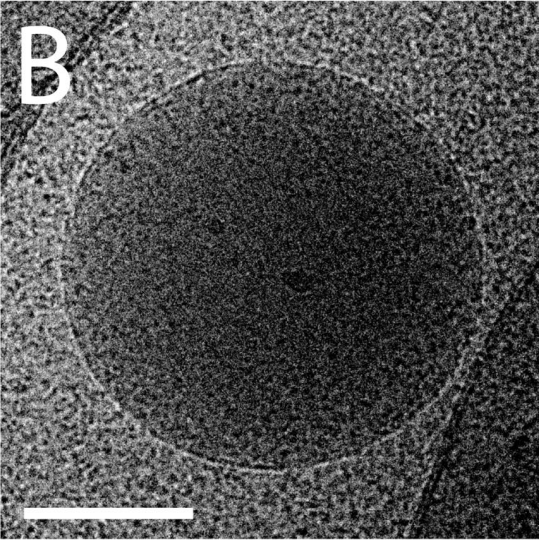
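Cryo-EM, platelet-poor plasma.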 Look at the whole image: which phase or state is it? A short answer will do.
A: Electron dense.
